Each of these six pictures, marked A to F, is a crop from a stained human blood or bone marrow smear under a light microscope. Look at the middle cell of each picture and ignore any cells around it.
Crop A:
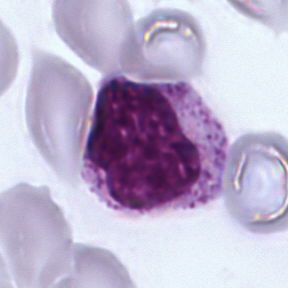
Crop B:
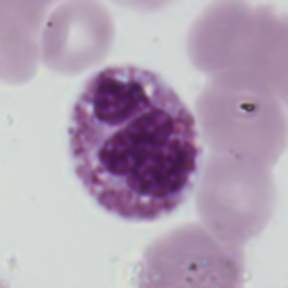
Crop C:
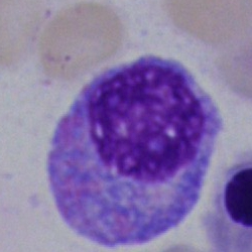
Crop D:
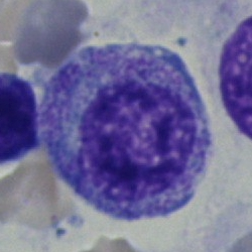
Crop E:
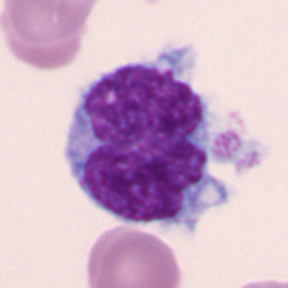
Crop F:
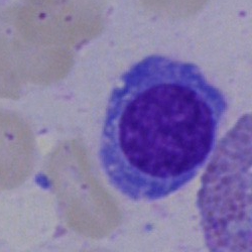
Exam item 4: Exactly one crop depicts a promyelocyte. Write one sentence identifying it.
Crop C is the crop featuring a promyelocyte at its center.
